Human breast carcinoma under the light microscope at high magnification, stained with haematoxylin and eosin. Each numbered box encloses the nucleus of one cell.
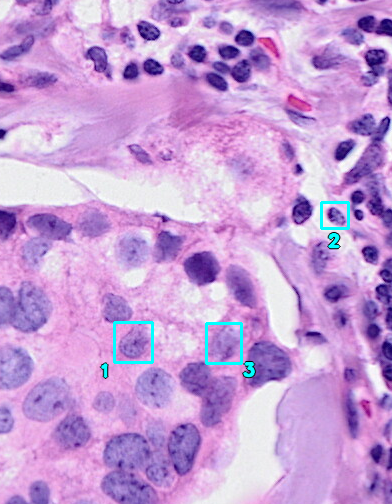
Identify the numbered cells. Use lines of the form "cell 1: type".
cell 1: carcinoma cell
cell 2: lymphocyte
cell 3: carcinoma cell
